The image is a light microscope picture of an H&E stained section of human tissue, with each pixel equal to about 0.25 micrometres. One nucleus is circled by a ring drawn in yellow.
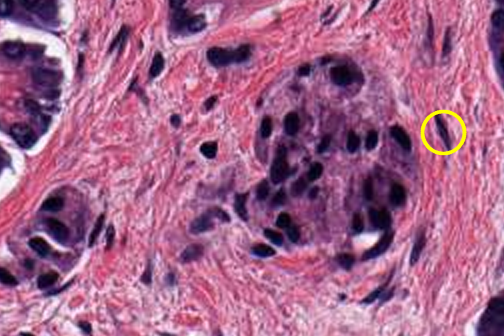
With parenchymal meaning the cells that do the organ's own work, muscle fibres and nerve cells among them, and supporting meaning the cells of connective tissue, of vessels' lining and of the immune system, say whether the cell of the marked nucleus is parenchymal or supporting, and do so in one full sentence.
The marked nucleus is identified as belonging to a supporting cell.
